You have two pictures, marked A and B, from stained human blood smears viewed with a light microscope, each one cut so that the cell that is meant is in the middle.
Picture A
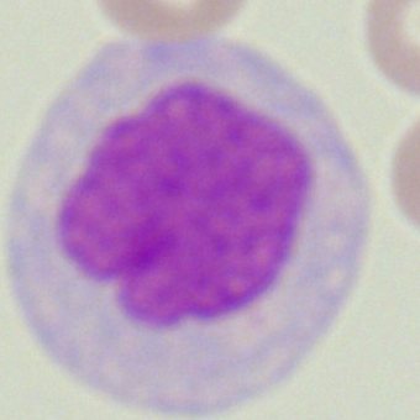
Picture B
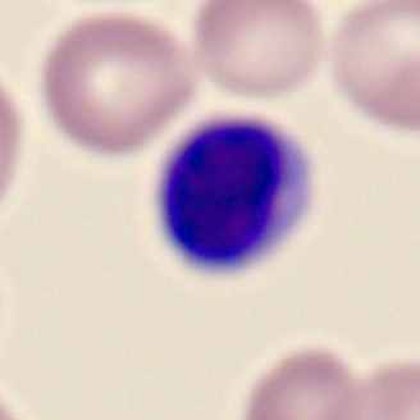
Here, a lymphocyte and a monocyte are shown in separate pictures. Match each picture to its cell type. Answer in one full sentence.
Picture A shows a monocyte and picture B shows a lymphocyte.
